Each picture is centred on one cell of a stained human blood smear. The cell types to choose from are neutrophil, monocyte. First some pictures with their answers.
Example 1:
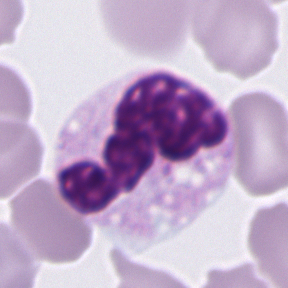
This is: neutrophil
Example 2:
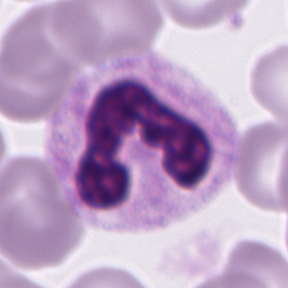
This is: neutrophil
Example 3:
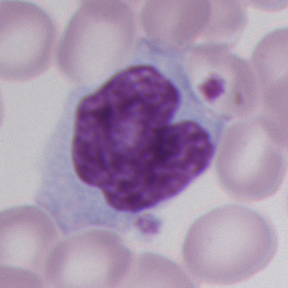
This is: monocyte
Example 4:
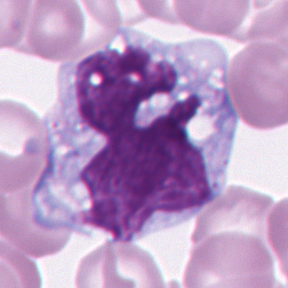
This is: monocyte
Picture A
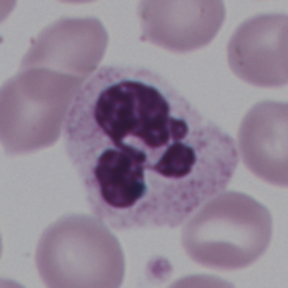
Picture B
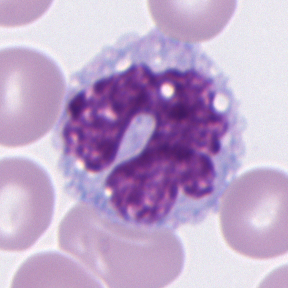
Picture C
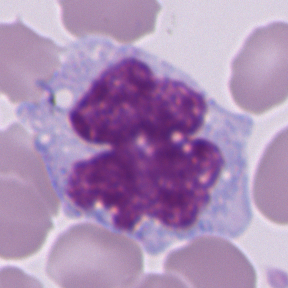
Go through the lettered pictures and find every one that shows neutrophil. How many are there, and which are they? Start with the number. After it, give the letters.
Count: 1 (A)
